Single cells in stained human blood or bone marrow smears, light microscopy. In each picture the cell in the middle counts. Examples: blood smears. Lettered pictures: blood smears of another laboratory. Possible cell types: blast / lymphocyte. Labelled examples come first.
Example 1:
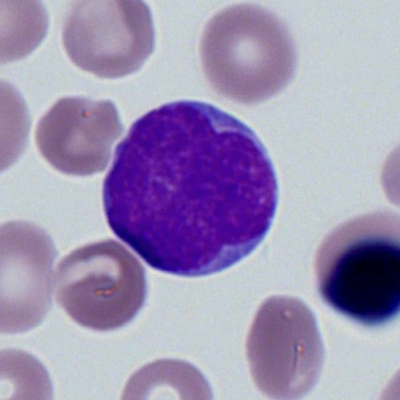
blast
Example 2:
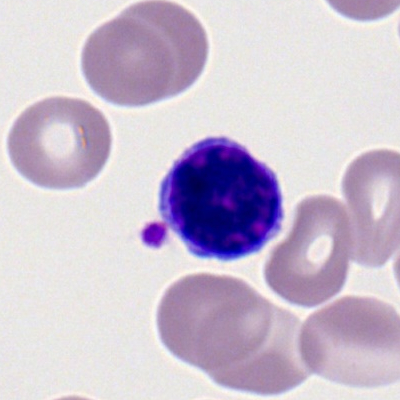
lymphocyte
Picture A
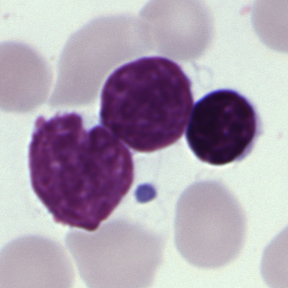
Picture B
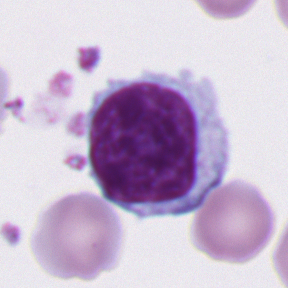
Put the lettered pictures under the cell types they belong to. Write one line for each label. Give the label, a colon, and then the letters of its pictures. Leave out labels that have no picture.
blast: A
lymphocyte: B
